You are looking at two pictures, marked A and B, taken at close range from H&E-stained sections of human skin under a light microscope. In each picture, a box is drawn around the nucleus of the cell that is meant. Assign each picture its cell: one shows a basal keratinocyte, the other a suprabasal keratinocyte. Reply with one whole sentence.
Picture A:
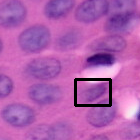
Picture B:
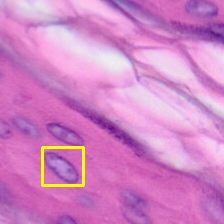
In picture A the cell is a basal keratinocyte; in picture B, a suprabasal keratinocyte.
